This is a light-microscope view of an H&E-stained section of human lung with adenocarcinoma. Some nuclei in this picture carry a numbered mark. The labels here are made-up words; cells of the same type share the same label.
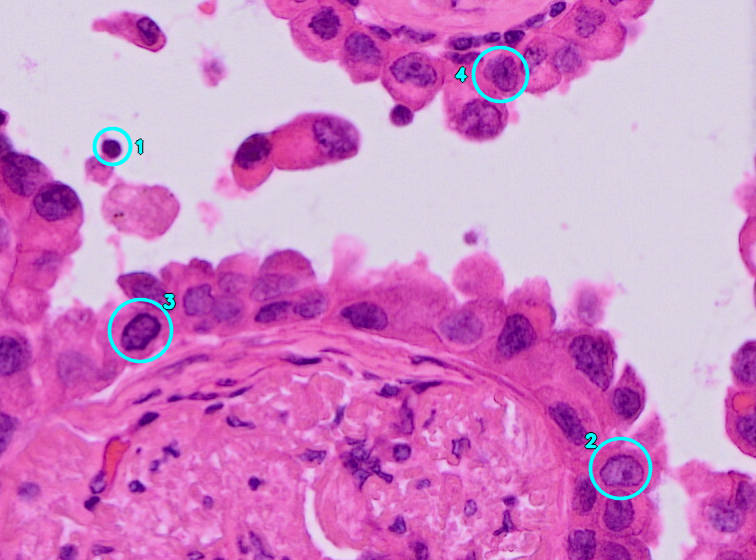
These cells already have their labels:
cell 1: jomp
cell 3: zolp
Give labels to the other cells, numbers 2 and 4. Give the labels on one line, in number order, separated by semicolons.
zolp; zolp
